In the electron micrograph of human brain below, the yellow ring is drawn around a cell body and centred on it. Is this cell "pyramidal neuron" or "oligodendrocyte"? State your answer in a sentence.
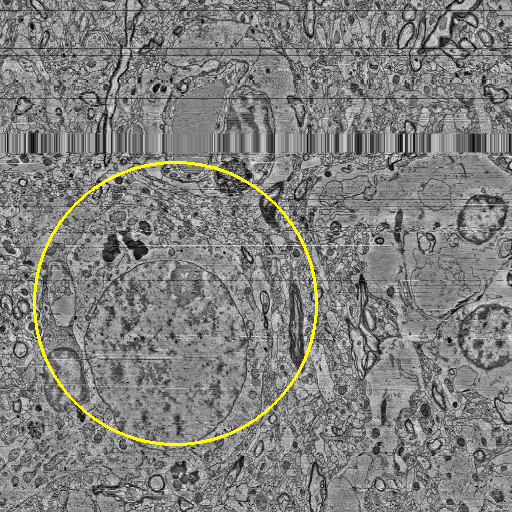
The cell in the middle of the ring is a pyramidal neuron.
